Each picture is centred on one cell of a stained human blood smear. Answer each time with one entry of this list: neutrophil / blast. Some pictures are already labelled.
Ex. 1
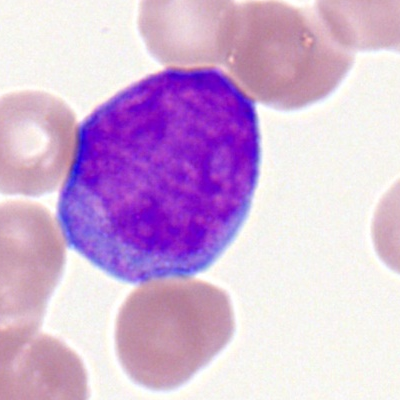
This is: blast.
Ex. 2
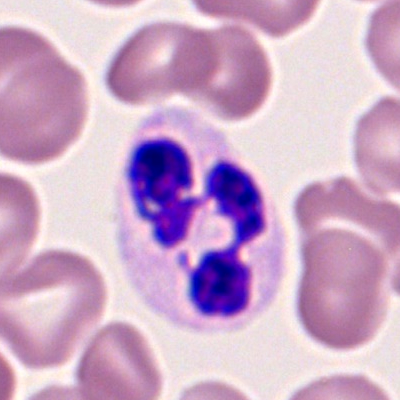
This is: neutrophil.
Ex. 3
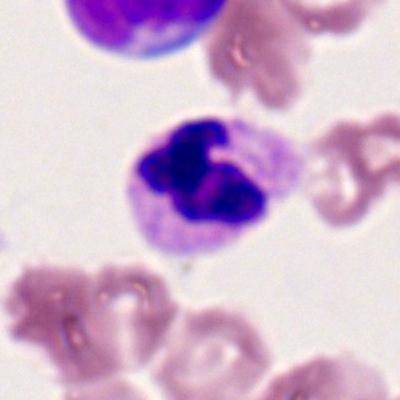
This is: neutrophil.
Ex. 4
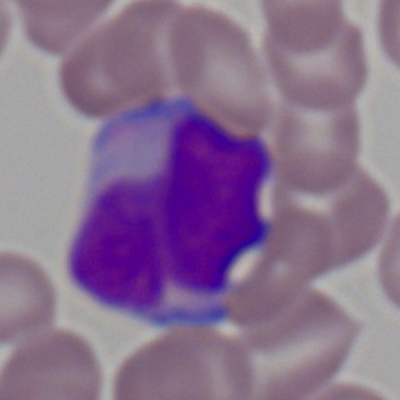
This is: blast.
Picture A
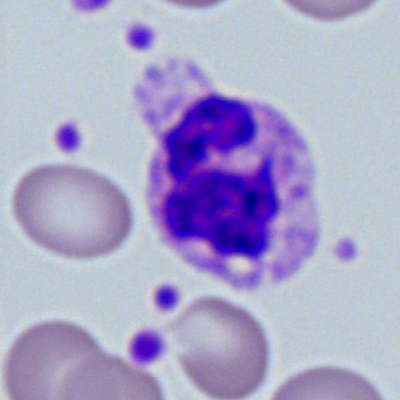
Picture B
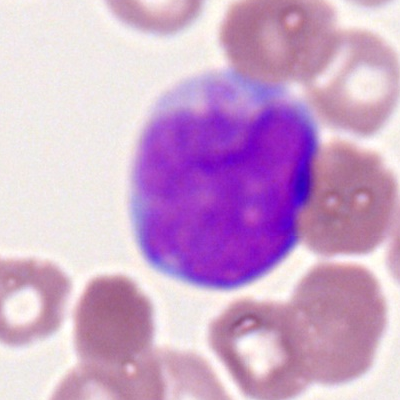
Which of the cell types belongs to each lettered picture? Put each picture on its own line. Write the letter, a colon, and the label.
A: neutrophil.
B: blast.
